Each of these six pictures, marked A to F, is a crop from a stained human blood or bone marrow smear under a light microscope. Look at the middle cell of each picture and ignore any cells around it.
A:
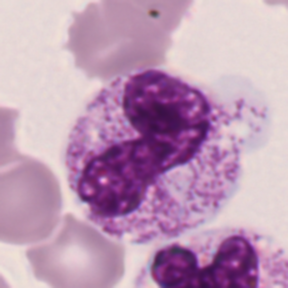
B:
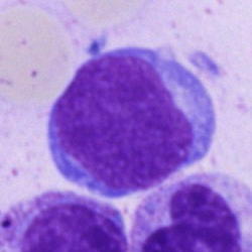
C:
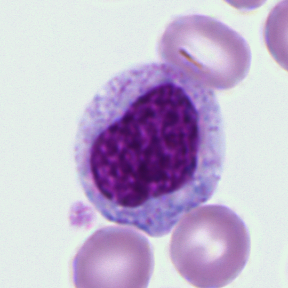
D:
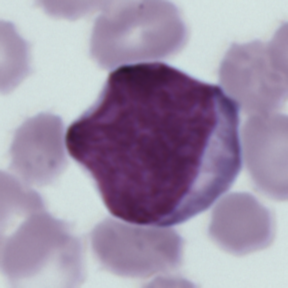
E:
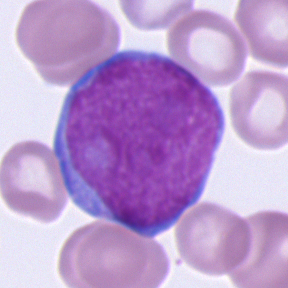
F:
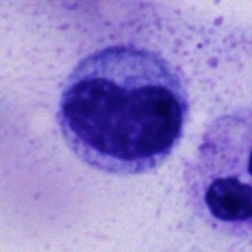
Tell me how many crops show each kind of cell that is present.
blast: 3
metamyelocyte: 2
band neutrophil: 1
